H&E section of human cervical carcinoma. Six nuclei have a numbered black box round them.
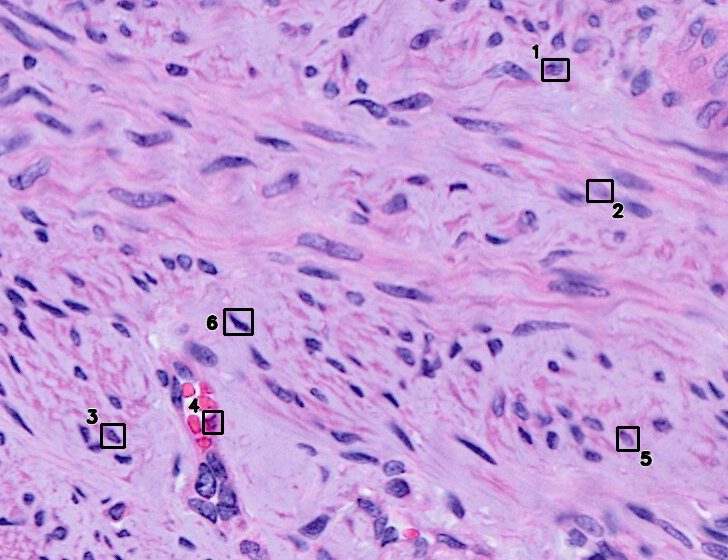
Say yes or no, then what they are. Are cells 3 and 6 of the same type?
No, cell 3 is a smooth muscle cell and cell 6 is a fibroblast.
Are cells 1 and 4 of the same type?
No, cell 1 is a smooth muscle cell and cell 4 is an endothelial cell.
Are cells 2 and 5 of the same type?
Yes, both are smooth muscle cells.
